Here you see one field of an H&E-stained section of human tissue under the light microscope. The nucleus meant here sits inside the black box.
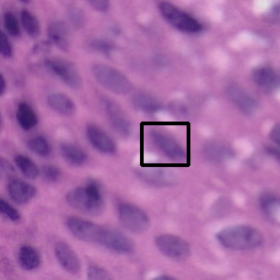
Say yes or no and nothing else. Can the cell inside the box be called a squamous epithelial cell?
yes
